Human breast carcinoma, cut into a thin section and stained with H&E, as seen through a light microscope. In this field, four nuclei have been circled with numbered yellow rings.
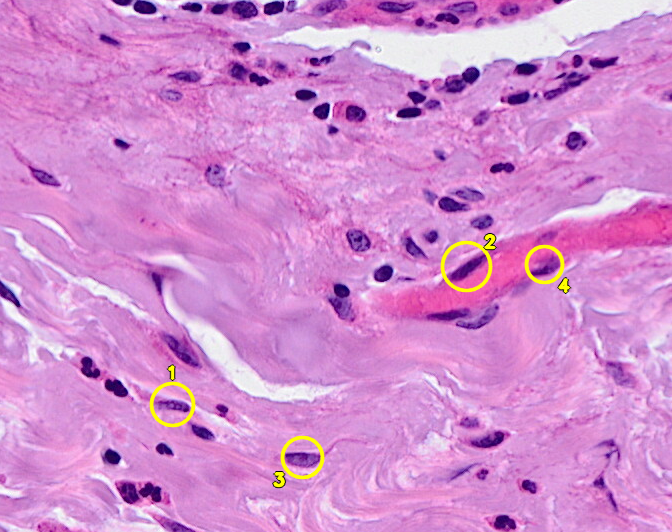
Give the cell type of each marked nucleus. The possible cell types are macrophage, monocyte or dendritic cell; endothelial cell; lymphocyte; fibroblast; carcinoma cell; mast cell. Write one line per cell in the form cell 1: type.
cell 1: fibroblast
cell 2: endothelial cell
cell 3: fibroblast
cell 4: endothelial cell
